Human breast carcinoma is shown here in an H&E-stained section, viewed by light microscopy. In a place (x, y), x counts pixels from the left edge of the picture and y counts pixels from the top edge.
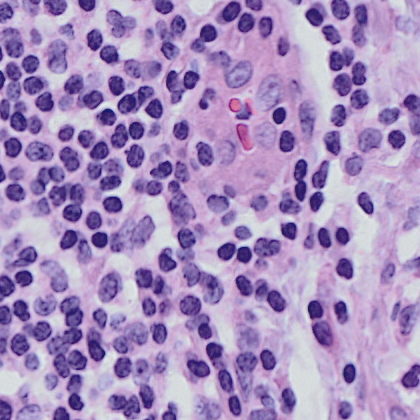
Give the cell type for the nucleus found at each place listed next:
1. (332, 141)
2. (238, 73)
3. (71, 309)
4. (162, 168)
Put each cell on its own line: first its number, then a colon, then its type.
1: lymphocyte
2: endothelial cell
3: lymphocyte
4: lymphocyte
